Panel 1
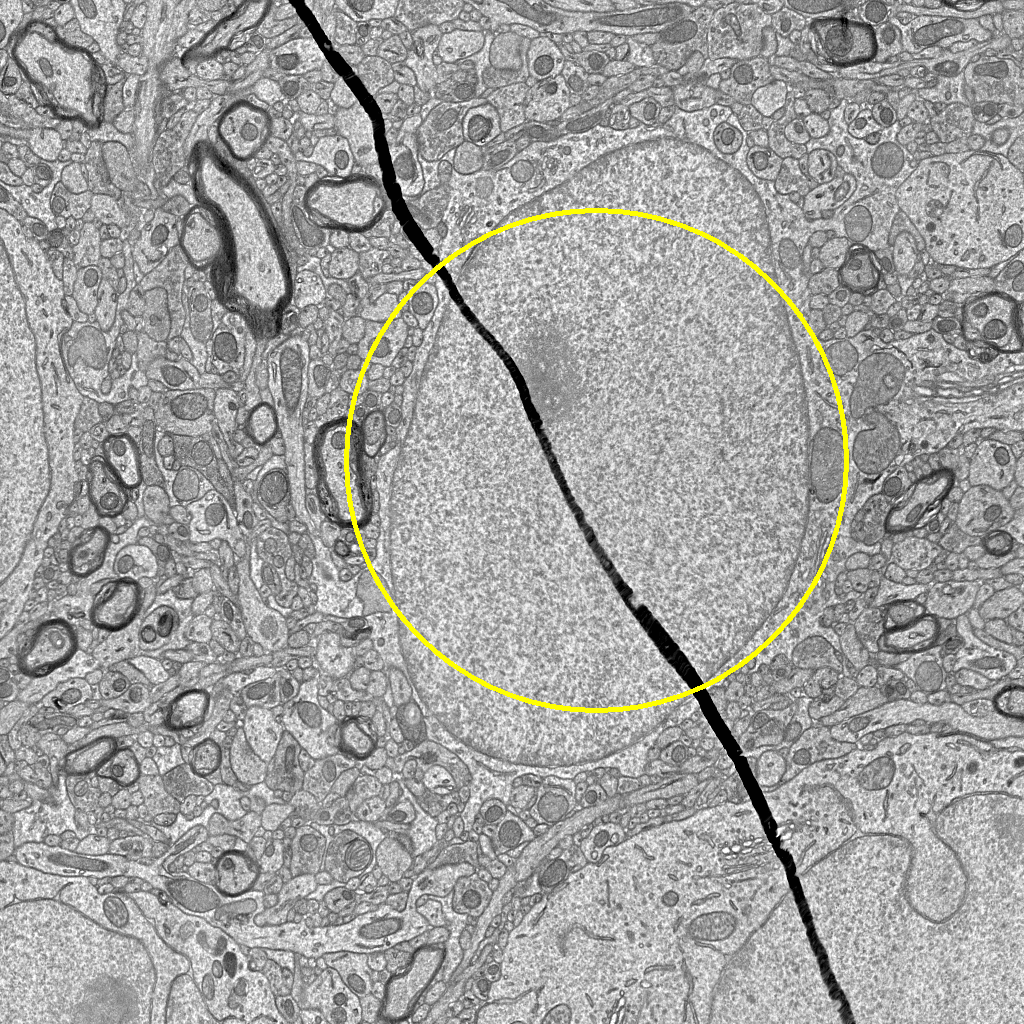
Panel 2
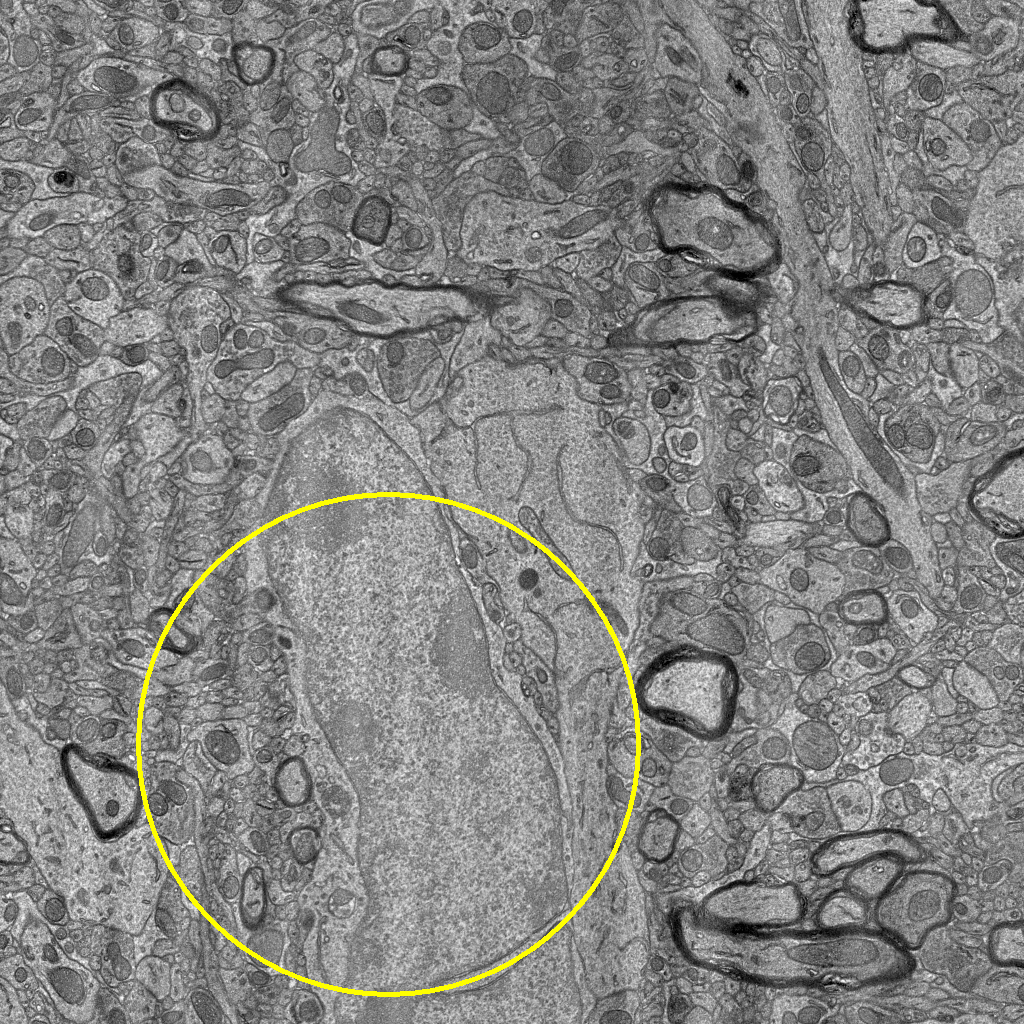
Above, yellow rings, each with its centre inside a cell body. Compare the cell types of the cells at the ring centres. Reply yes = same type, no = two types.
no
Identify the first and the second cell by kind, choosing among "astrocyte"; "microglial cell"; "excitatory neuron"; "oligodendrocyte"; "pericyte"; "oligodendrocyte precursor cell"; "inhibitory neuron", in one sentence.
The first picture has an astrocyte in its ring, the second has an oligodendrocyte.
